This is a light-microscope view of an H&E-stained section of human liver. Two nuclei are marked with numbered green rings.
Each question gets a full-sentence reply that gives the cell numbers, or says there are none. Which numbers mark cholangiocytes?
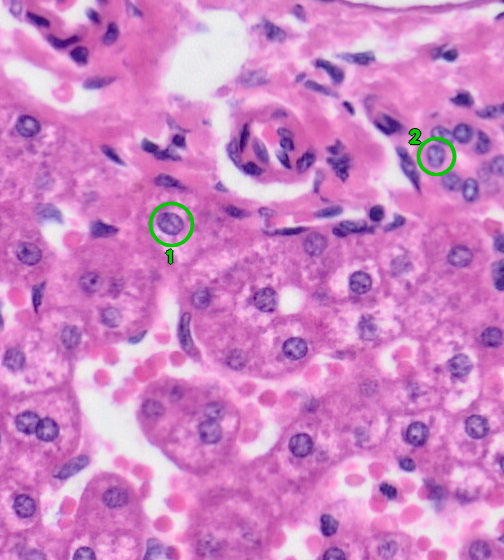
Only the cell carrying number 2 is a cholangiocyte.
